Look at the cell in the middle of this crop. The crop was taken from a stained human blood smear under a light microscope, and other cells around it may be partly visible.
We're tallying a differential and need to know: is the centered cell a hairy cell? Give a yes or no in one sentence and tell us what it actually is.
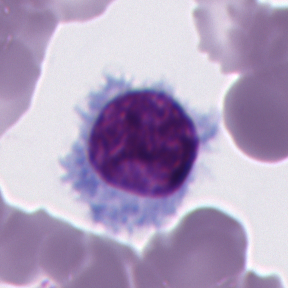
Yes, the cell in the middle of the view is a hairy cell.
